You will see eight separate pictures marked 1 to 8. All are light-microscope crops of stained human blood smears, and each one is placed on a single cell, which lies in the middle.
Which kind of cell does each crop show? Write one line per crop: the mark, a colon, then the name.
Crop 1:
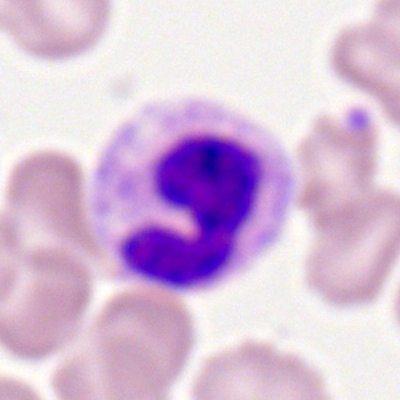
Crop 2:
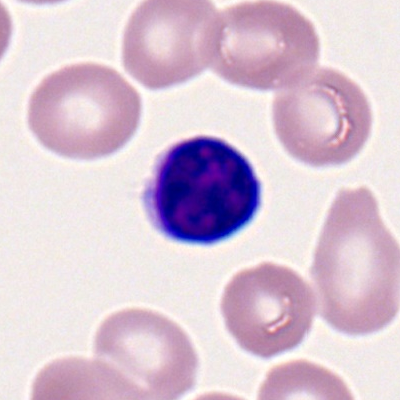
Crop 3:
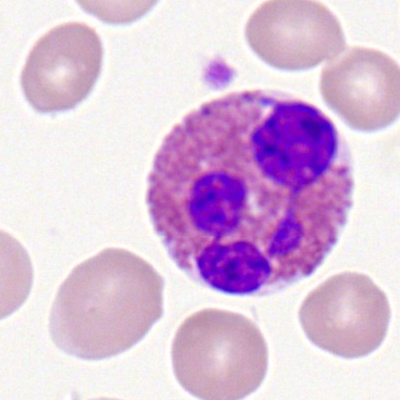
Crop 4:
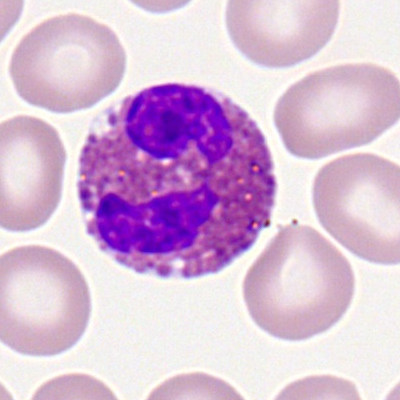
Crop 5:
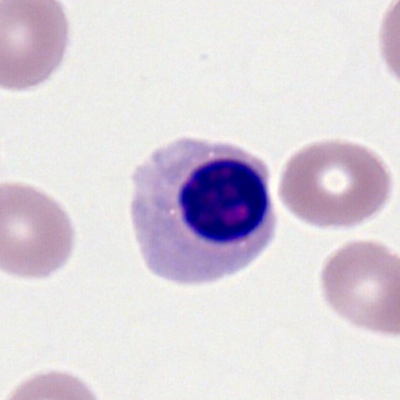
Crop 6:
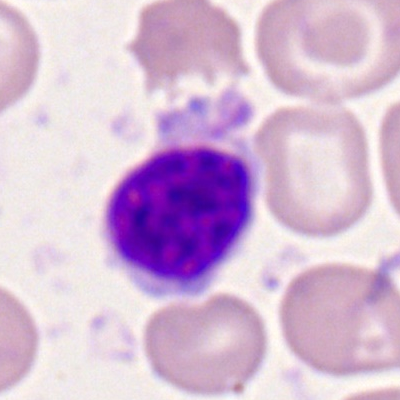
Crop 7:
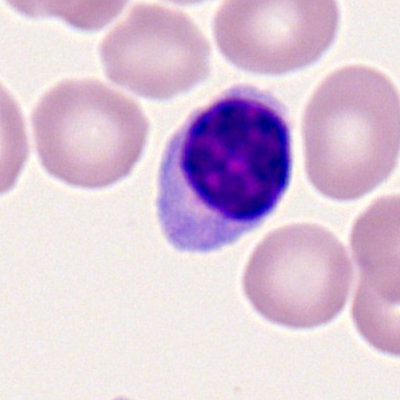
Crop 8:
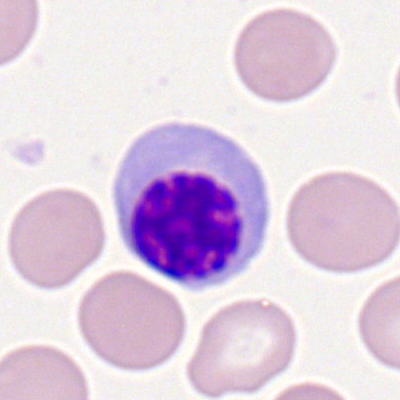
1: band neutrophil
2: lymphocyte
3: eosinophil
4: eosinophil
5: erythroblast
6: lymphocyte
7: erythroblast
8: erythroblast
